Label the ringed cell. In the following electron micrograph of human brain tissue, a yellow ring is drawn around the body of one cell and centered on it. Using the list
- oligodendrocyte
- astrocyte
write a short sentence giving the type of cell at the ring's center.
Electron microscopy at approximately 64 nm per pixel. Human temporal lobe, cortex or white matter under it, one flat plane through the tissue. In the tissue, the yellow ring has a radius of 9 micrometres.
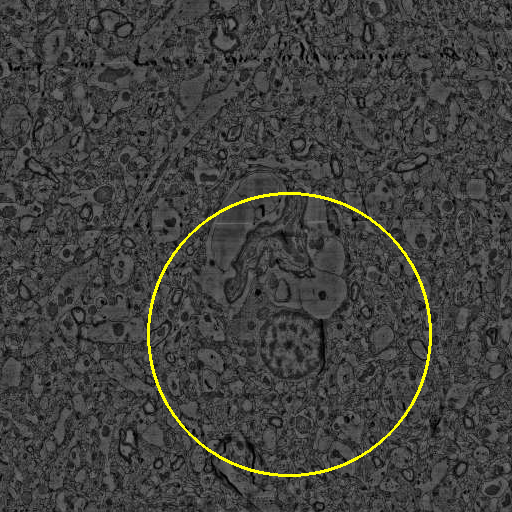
The cell body at the ring's center is that of an oligodendrocyte.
